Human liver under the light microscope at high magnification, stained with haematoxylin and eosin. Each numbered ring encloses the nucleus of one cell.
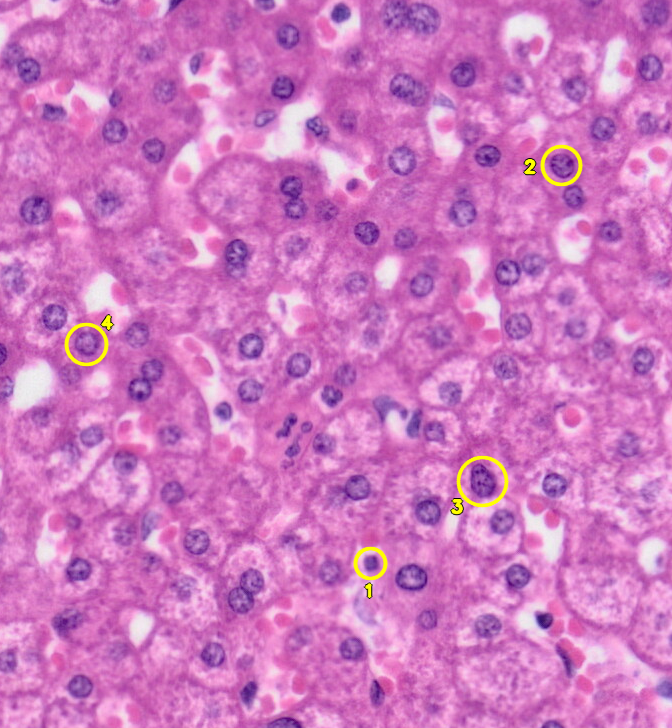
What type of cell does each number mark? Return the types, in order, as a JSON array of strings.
["lymphocyte", "hepatocyte", "hepatocyte", "hepatocyte"]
